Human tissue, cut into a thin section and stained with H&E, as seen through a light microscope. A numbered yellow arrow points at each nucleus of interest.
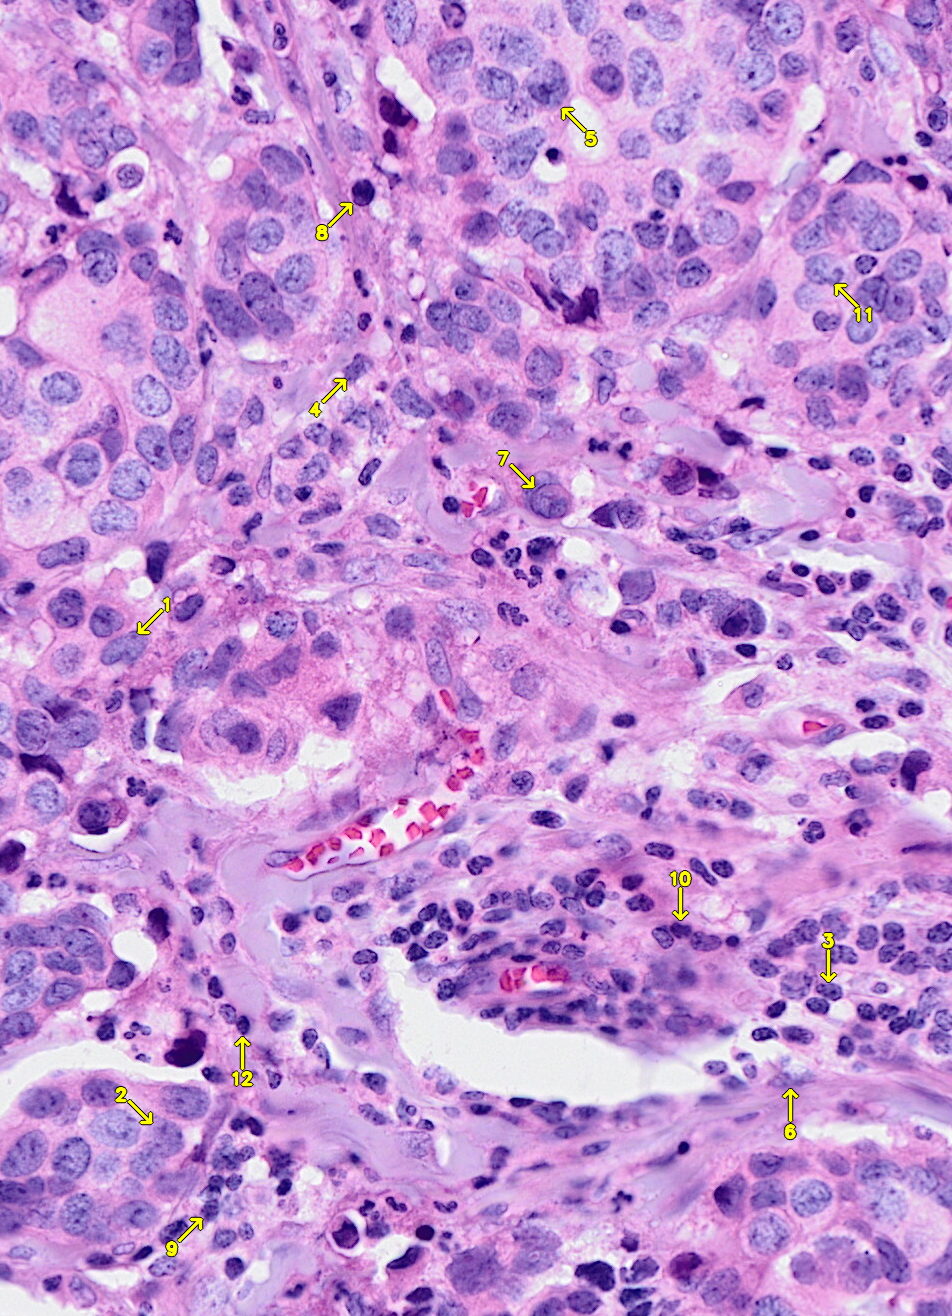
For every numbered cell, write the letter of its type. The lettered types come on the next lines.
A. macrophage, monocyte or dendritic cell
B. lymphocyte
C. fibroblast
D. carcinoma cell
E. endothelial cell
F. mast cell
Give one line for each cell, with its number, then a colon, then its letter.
1: D
2: D
3: B
4: A
5: D
6: C
7: D
8: D
9: B
10: B
11: D
12: B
